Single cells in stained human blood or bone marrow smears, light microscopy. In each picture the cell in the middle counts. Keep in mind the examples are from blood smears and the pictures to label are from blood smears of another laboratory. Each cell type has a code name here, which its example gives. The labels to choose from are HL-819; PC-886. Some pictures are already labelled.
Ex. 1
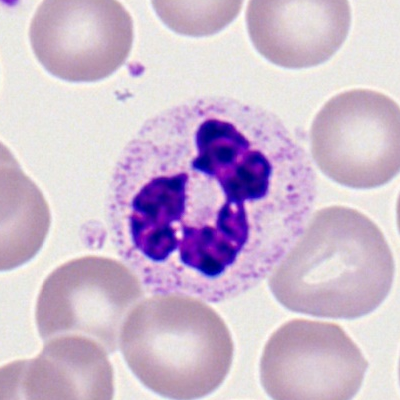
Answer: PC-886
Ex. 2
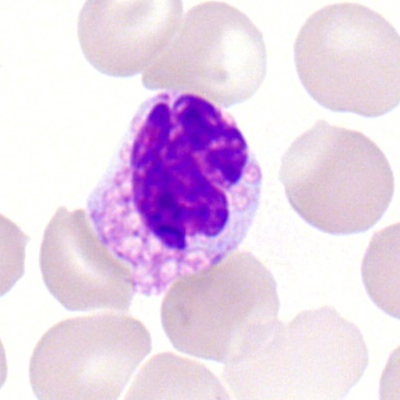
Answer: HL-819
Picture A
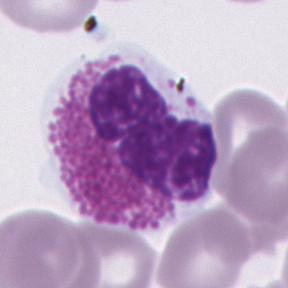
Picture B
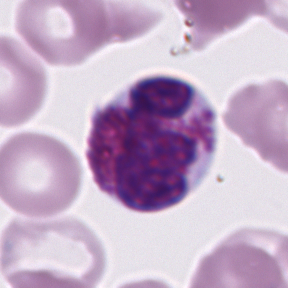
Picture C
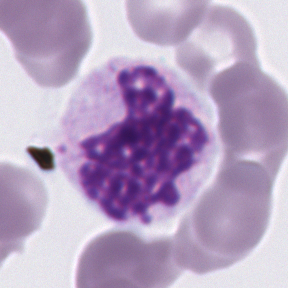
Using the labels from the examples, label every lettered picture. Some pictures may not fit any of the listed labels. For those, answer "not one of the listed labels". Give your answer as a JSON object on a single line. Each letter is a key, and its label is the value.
{"A": "not one of the listed labels", "B": "not one of the listed labels", "C": "PC-886"}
